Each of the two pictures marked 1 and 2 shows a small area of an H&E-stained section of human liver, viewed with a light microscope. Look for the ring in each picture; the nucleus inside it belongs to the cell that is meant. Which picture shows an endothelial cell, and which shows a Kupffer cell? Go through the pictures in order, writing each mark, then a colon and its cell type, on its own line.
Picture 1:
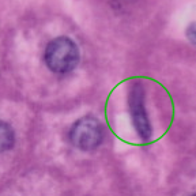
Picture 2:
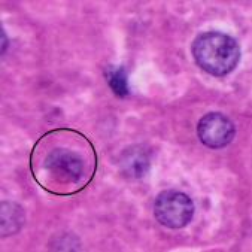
1: Kupffer cell
2: endothelial cell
